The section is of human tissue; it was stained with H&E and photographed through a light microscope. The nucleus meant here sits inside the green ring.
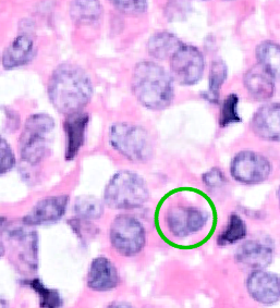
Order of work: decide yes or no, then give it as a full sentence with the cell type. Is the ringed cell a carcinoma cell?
Yes, it is a carcinoma cell that the ringed cell represents in this section.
